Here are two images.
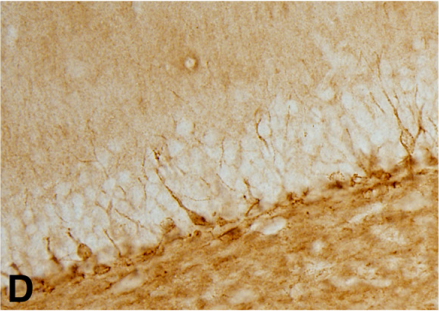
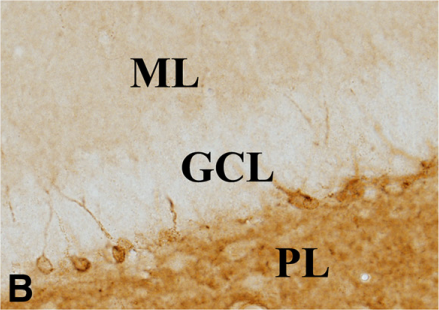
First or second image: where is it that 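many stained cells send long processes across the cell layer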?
The first image.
